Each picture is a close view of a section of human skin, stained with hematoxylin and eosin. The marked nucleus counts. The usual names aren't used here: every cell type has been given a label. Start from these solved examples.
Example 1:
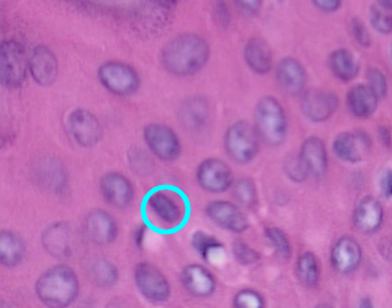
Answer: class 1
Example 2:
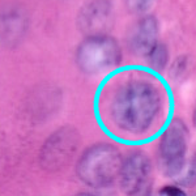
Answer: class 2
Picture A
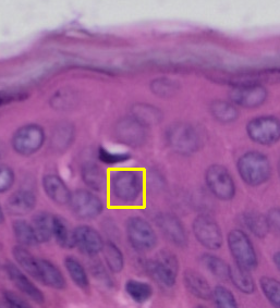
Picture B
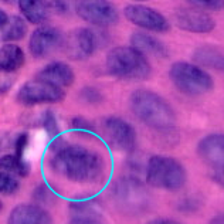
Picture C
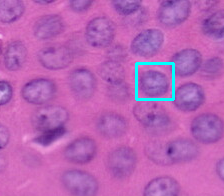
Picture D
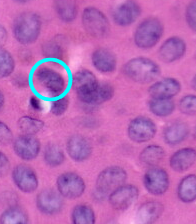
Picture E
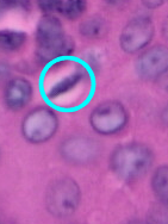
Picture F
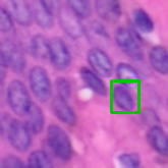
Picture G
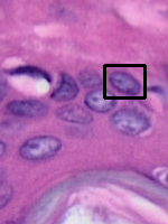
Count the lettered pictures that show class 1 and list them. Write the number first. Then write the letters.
1: C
